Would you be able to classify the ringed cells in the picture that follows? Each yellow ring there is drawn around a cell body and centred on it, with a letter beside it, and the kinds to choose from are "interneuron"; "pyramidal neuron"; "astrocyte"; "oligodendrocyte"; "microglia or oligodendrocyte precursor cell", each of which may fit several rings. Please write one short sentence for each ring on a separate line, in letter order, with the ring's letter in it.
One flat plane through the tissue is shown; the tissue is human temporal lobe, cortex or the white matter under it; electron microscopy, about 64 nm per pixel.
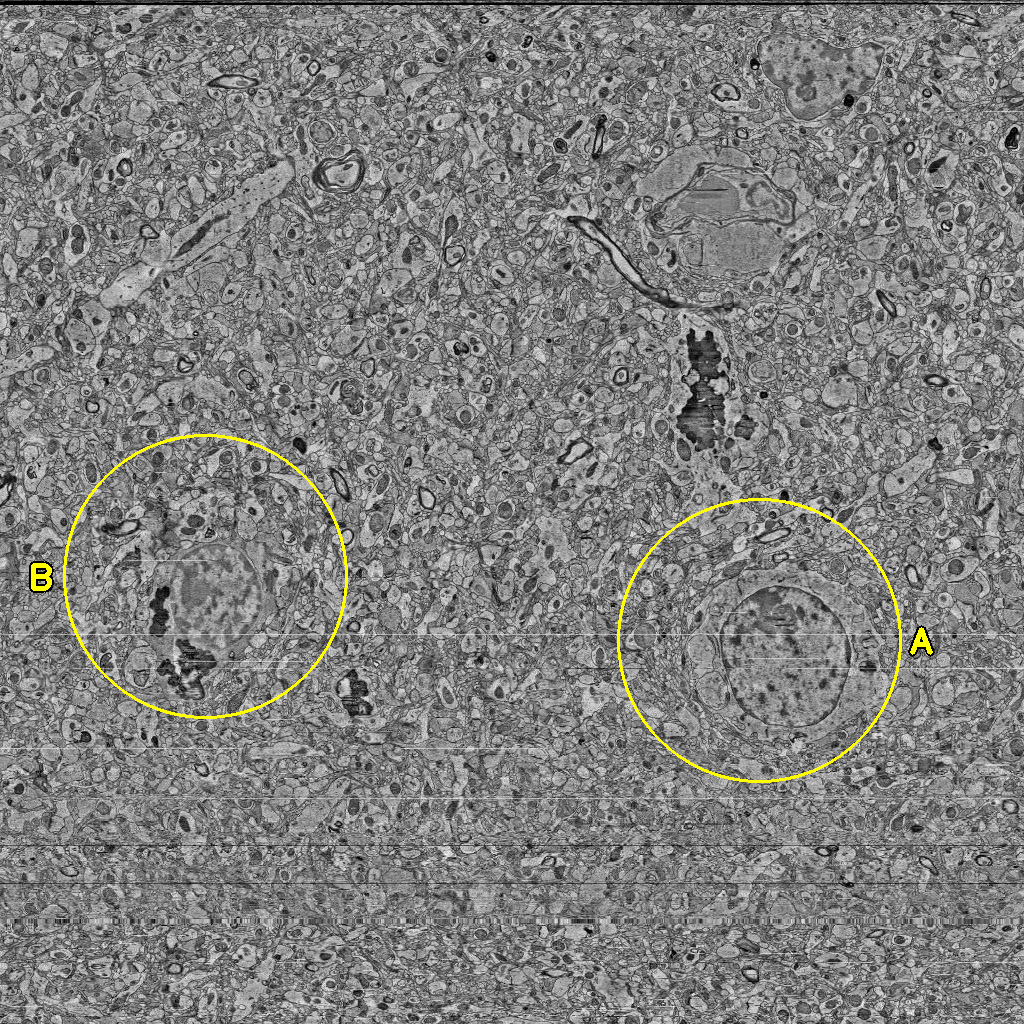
The cell body at the centre of ring A belongs to an astrocyte.
The cell body at the centre of ring B belongs to an oligodendrocyte.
